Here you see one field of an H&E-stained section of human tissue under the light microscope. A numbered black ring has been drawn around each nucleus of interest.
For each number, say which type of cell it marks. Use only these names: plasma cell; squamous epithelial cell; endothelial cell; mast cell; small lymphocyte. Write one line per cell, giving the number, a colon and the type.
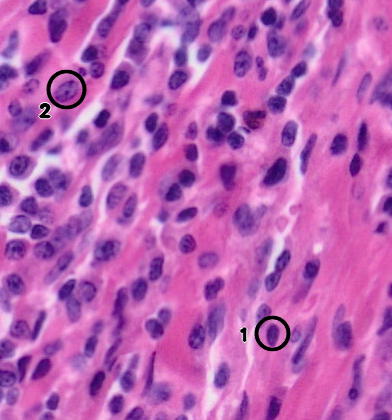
1: mast cell
2: plasma cell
